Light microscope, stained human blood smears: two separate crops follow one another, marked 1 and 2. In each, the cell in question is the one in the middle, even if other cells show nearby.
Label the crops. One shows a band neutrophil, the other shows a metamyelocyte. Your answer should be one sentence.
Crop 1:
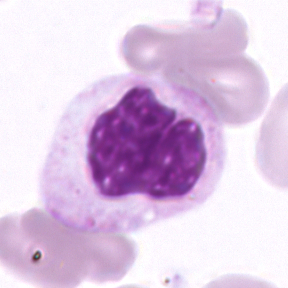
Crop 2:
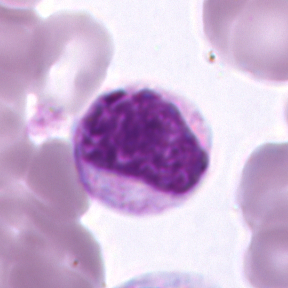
At the centre of crop 1 lies a band neutrophil, and at the centre of crop 2 lies a metamyelocyte.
